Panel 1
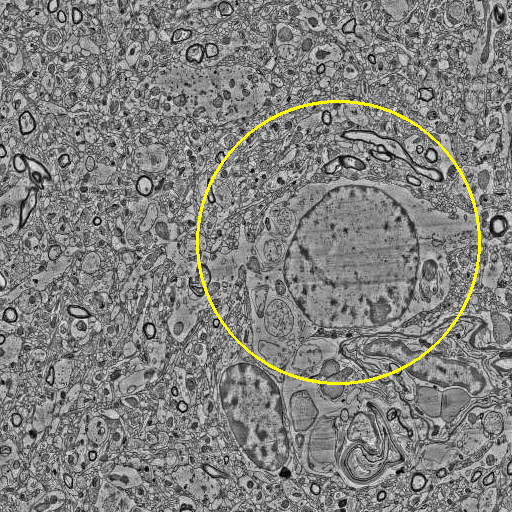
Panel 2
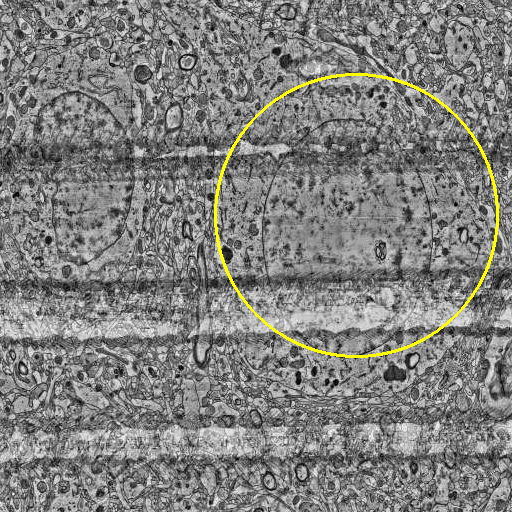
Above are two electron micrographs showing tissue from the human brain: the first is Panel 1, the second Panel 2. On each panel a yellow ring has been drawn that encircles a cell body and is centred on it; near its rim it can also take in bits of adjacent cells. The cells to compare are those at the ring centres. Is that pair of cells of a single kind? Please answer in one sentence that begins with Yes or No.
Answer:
No, the ring-centred cells of Panel 1 and Panel 2 belong to two kinds.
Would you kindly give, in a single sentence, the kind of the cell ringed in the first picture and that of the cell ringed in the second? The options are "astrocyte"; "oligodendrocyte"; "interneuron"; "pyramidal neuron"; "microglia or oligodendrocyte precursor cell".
The second cell is a pyramidal neuron, and the first cell is an astrocyte.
